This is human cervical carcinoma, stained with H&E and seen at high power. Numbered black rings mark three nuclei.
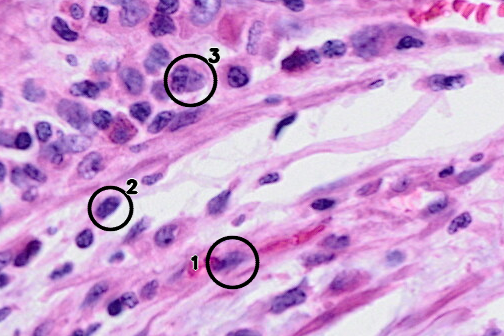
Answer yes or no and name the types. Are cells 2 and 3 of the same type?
No, in contrast to cell 3, which is a macrophage or monocyte, cell 2 is a lymphocyte.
